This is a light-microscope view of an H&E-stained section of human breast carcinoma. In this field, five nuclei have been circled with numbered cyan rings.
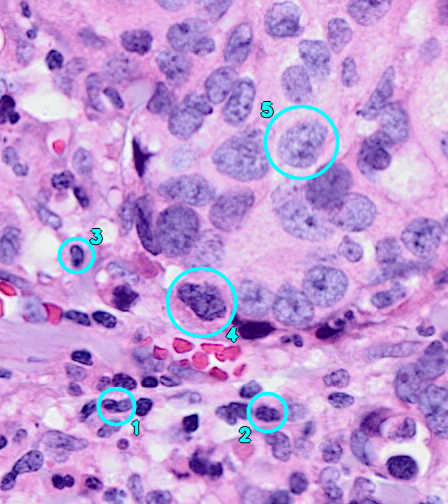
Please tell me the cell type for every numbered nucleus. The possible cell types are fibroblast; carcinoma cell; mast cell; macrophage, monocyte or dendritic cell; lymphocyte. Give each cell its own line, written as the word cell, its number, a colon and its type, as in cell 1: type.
cell 1: lymphocyte
cell 2: lymphocyte
cell 3: lymphocyte
cell 4: carcinoma cell
cell 5: carcinoma cell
